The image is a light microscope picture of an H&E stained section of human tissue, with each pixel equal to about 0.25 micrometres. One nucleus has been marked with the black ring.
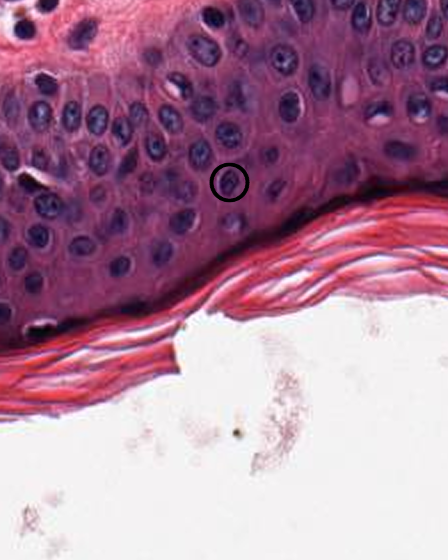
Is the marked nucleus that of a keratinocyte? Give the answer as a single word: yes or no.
yes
